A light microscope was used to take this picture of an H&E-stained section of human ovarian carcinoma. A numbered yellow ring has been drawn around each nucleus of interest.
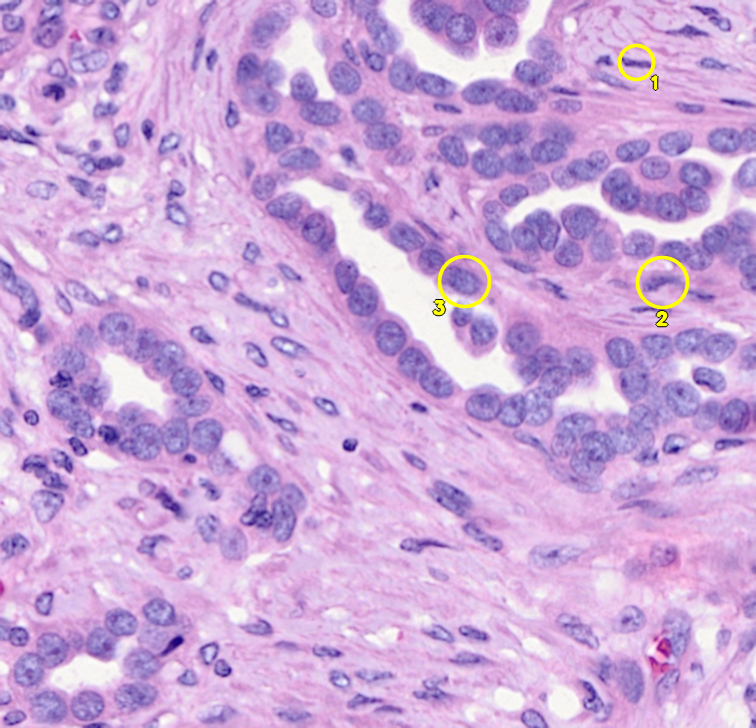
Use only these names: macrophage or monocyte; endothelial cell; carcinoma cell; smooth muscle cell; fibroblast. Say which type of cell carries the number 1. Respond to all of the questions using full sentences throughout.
The identity of cell 1 is that of a fibroblast.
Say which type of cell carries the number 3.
The correct answer for cell 3 is a carcinoma cell.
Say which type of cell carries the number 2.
The cell numbered 2 has been identified as a fibroblast.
